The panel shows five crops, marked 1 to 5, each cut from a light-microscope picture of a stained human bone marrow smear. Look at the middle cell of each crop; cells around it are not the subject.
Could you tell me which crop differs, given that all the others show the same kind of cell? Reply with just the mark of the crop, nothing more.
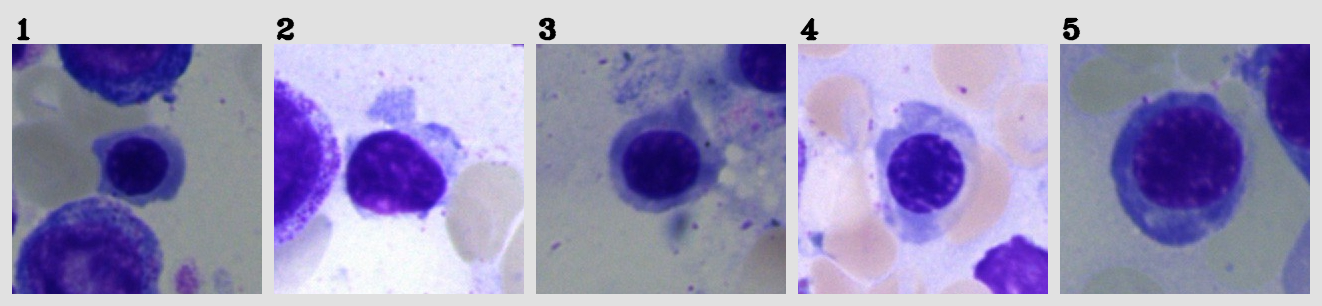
2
